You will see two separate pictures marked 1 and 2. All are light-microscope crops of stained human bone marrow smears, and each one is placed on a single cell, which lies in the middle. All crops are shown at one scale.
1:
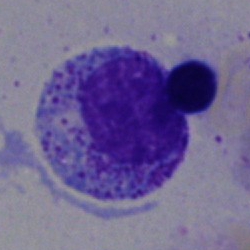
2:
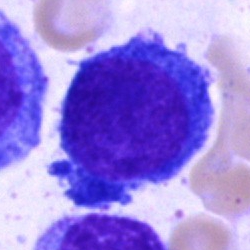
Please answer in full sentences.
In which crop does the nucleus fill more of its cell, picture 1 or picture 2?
The nucleus fills more of the cell in picture 2 than in picture 1.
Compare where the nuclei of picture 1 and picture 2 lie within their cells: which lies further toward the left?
Seen within its cell, the nucleus in picture 2 lies further toward the left.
